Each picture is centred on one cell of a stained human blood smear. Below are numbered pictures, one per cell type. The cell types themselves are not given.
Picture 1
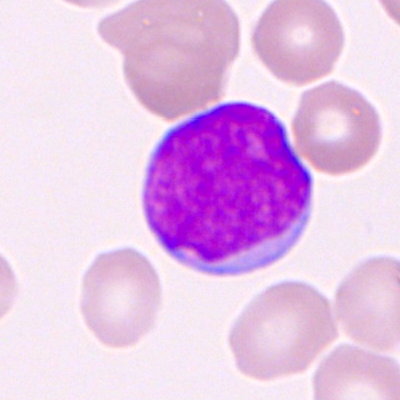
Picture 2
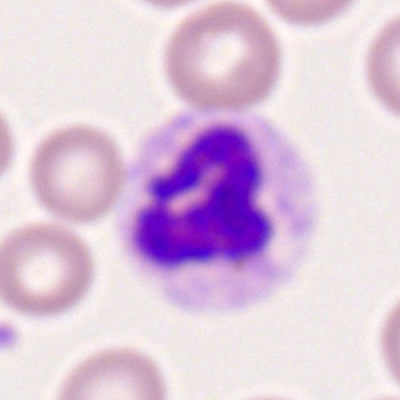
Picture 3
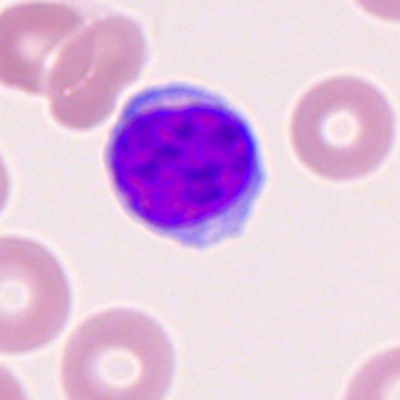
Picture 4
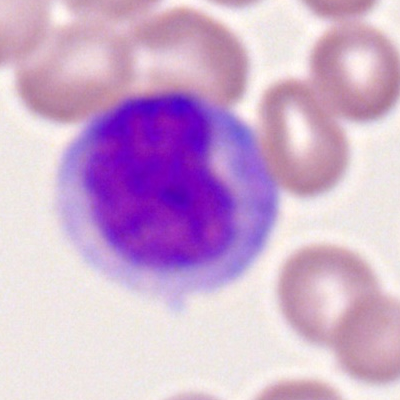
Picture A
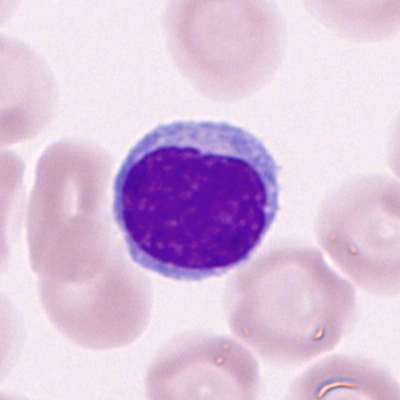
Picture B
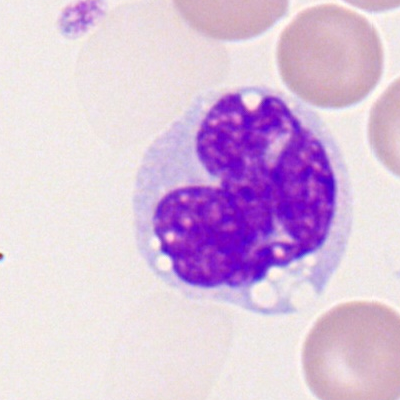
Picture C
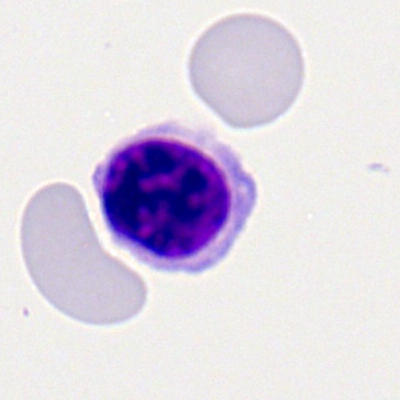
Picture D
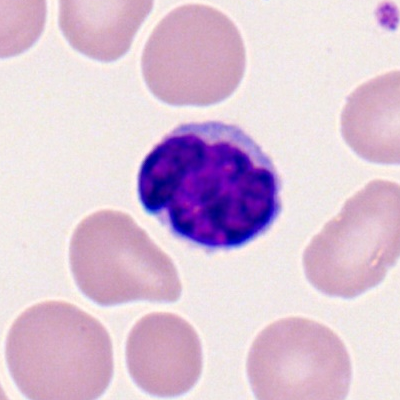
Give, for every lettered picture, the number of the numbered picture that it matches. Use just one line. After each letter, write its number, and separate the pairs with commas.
A 3, B 4, C 3, D 3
